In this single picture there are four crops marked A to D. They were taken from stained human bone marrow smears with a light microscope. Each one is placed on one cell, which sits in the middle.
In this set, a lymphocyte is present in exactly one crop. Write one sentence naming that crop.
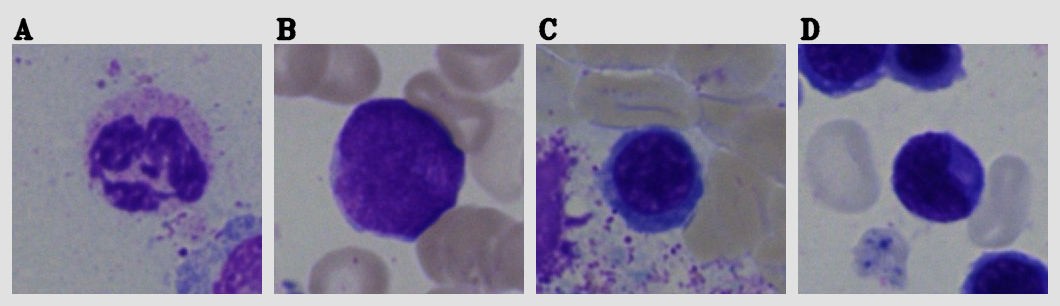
Crop D is the right one; it is the crop showing a lymphocyte.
